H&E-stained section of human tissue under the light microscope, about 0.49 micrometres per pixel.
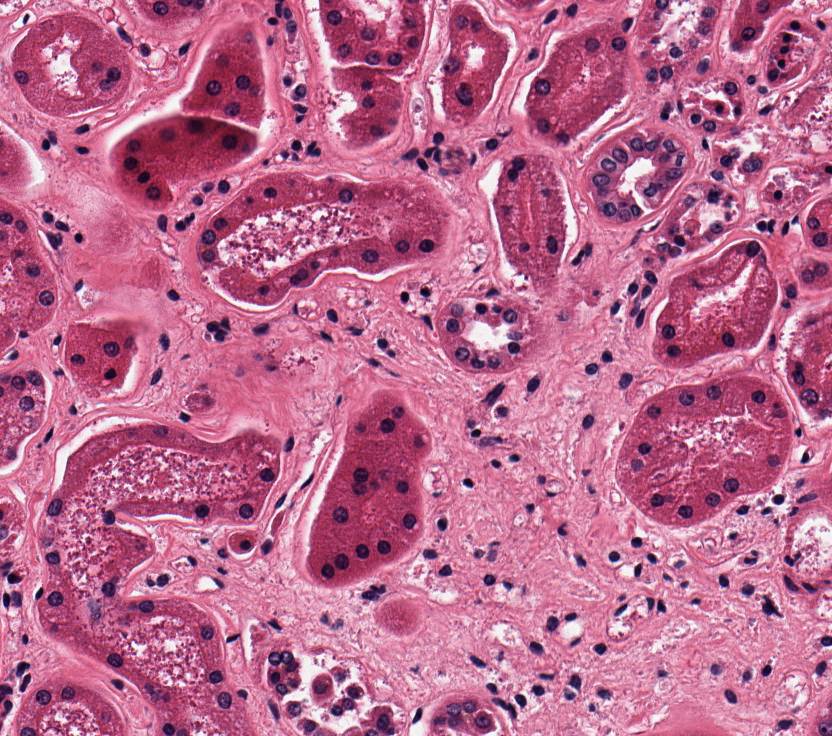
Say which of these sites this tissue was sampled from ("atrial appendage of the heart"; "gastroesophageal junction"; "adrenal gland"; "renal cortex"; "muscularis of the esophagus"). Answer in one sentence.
The site this tissue was sampled from is the renal cortex.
